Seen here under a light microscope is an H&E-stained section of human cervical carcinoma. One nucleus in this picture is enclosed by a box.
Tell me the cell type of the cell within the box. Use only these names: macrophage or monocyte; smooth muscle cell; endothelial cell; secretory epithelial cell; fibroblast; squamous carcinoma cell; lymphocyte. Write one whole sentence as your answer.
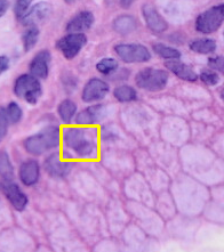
For cell typing purposes, the cell within the box is a secretory epithelial cell.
